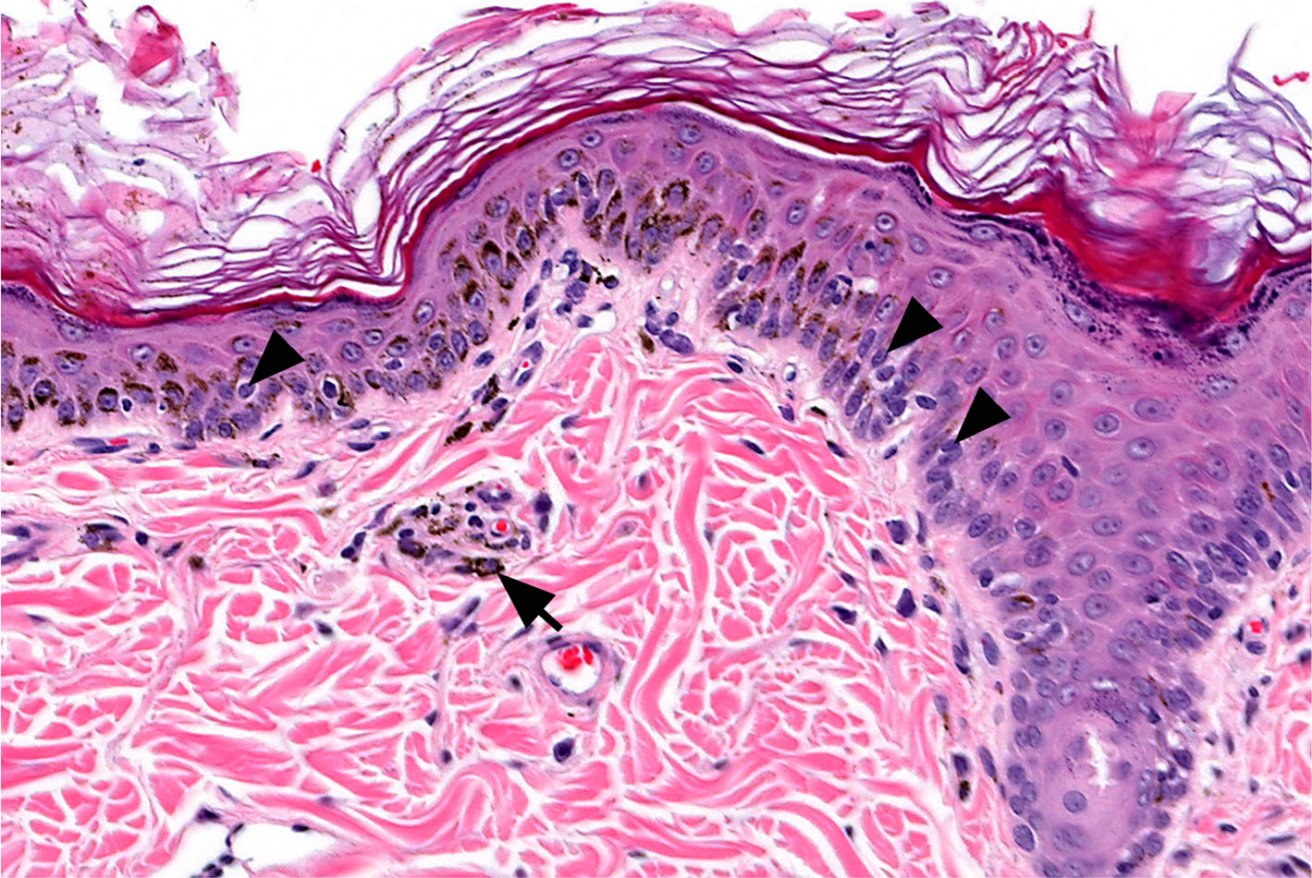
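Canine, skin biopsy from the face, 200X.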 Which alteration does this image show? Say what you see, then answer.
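On the left the basal epidermal cells carry abundant brown pigment. Toward the right the epidermis shows little or no brown pigment.
Junction of depigmented and non-depigmented epidermis.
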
